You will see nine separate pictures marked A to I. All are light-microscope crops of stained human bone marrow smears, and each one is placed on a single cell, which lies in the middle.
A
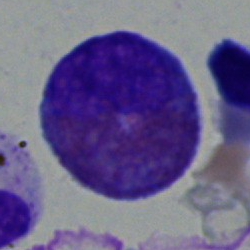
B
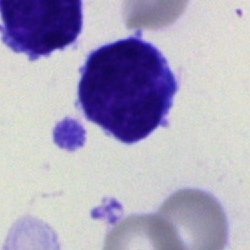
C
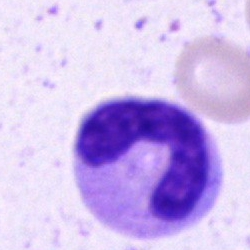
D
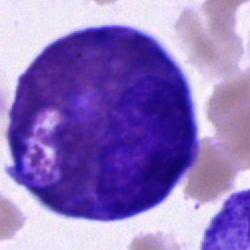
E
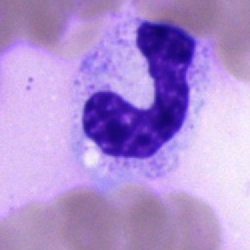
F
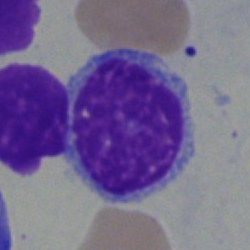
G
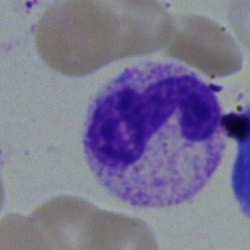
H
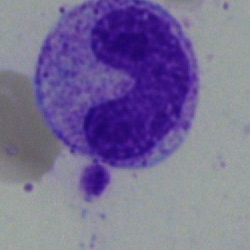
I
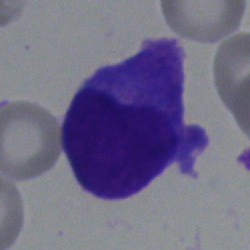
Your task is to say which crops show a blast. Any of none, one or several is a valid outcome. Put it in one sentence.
The cells marked B, F and I are blasts.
